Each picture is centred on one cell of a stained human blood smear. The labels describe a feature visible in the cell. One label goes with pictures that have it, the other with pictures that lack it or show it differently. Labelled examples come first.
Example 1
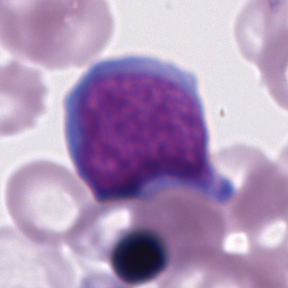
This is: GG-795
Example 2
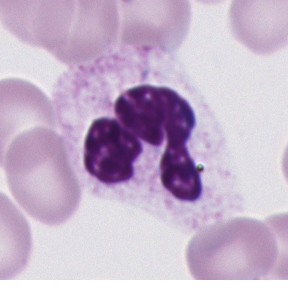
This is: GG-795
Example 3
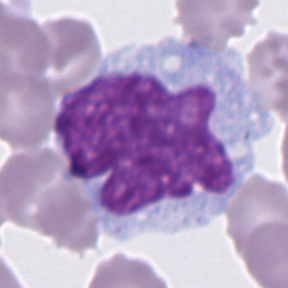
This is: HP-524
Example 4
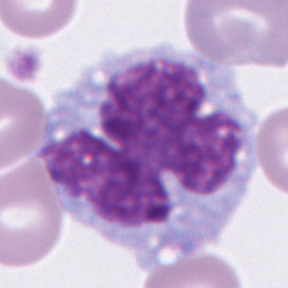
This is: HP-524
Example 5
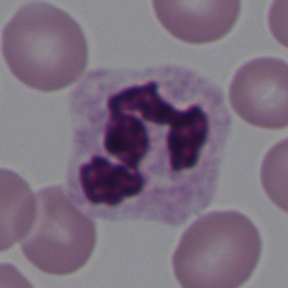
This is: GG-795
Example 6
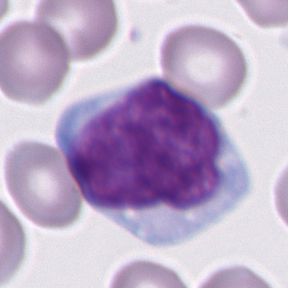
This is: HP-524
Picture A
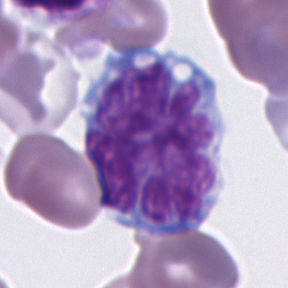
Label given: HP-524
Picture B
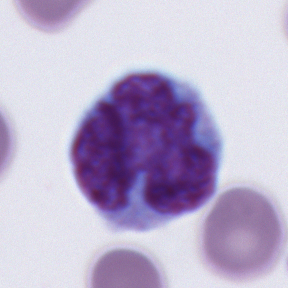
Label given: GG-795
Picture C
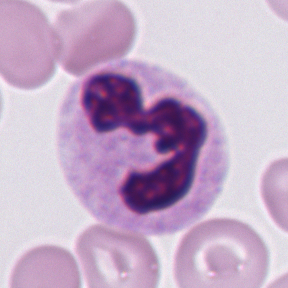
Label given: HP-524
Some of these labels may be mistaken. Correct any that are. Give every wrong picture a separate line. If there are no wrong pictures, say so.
C: change HP-524 to GG-795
